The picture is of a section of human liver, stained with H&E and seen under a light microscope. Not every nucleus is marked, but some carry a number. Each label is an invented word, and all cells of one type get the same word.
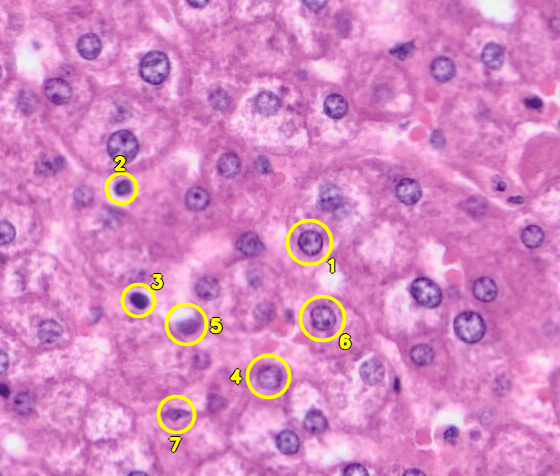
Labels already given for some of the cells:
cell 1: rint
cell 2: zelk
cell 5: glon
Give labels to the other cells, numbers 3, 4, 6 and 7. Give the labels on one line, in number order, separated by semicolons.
zelk; rint; rint; glon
